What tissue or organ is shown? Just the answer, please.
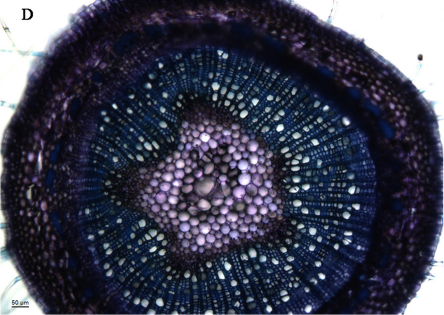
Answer: abundant secondary xylem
